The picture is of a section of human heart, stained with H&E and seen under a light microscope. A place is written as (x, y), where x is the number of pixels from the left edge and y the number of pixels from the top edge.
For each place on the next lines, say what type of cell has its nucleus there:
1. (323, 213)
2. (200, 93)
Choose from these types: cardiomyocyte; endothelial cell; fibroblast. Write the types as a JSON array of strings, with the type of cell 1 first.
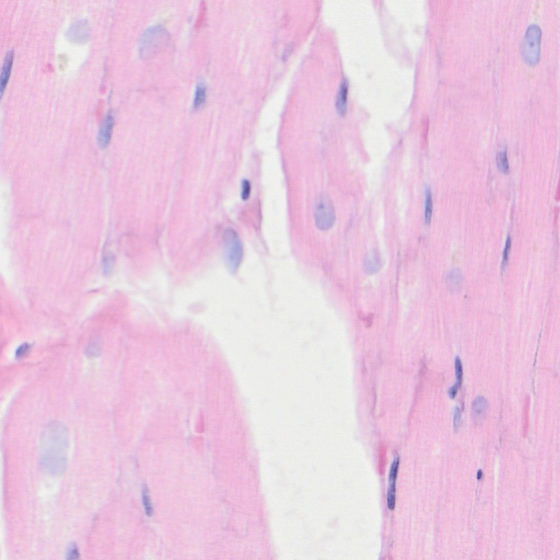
["cardiomyocyte", "endothelial cell"]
